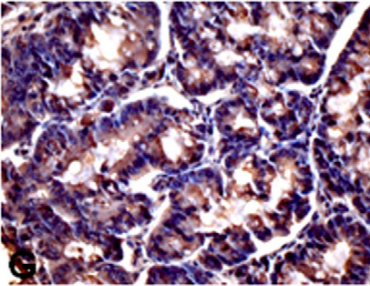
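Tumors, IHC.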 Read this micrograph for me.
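The gland-lining cells have crowded, elongated, dark blue nuclei. Brown stain fills their cytoplasm widely across the field. Many gland lumens contain pale, lightly stained material, and narrow bands of stroma separate neighbouring glands.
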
